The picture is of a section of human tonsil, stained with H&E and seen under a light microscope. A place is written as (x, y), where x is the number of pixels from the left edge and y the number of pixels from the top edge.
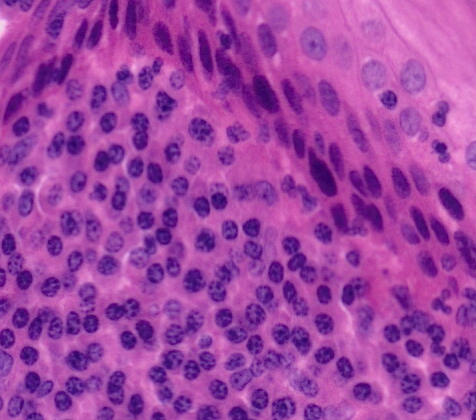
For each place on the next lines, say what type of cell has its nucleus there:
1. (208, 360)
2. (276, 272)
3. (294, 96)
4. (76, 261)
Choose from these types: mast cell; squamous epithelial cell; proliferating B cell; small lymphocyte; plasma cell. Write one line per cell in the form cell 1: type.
cell 1: plasma cell
cell 2: plasma cell
cell 3: squamous epithelial cell
cell 4: plasma cell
